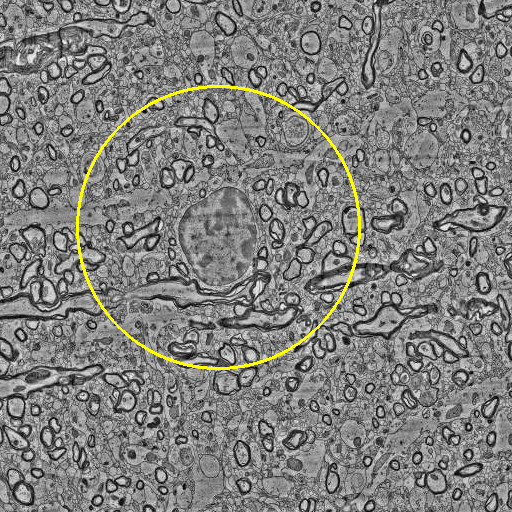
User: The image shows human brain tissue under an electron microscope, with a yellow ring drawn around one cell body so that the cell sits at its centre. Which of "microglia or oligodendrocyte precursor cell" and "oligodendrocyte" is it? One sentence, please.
At the centre of the ring sits a microglial cell or oligodendrocyte precursor cell.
